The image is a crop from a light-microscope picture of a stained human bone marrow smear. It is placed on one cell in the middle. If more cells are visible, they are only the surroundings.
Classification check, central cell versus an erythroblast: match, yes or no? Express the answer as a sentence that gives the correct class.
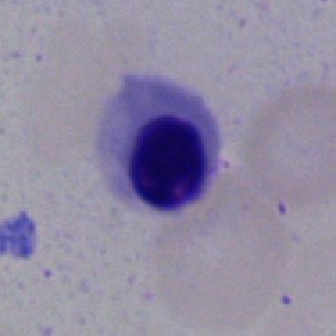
Yes, the middle cell here is an erythroblast.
